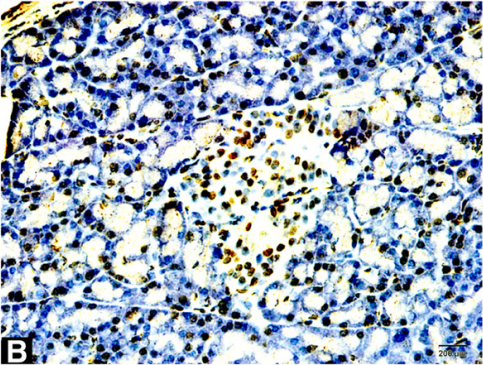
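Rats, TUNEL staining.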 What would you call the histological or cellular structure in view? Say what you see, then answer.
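Islets. It is surrounded by glandular acini with pale cytoplasm.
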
